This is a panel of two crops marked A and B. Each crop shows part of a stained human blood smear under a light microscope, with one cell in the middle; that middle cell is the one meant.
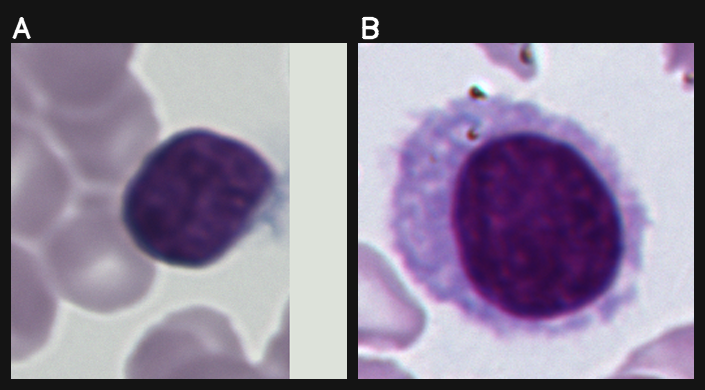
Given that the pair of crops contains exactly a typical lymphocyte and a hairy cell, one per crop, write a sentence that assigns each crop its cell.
The cell centred in crop A is a typical lymphocyte, while the one centred in crop B is a hairy cell.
